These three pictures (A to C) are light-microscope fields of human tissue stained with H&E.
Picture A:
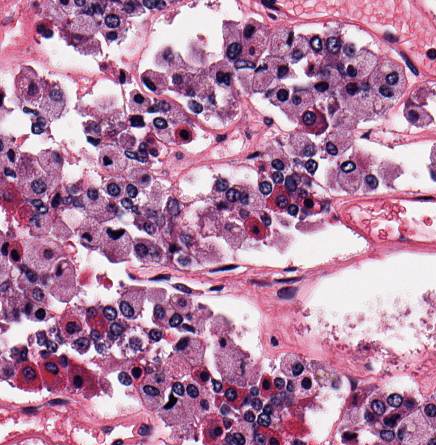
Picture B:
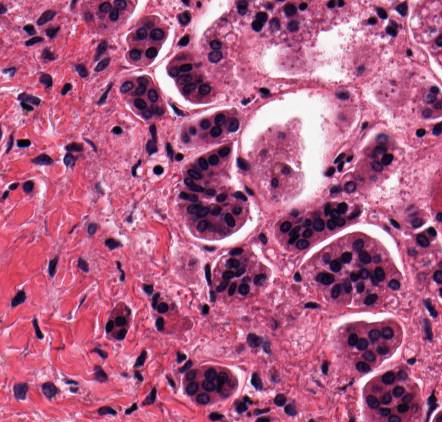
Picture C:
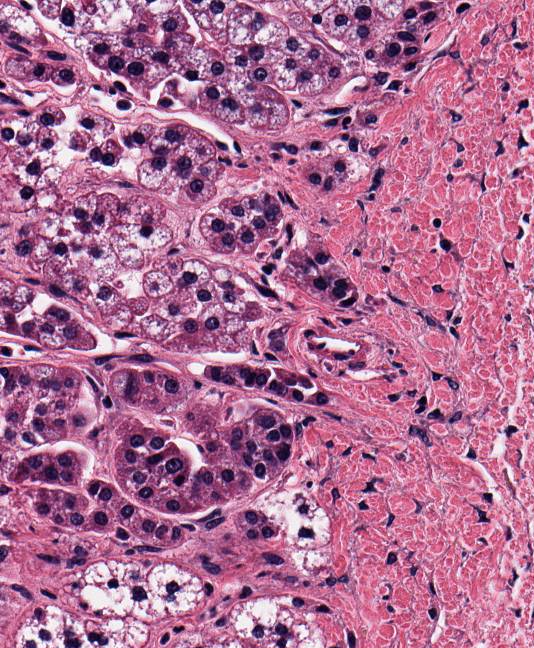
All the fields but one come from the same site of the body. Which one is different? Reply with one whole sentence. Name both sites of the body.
The others come from the adrenal gland, but picture A comes from the pituitary.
